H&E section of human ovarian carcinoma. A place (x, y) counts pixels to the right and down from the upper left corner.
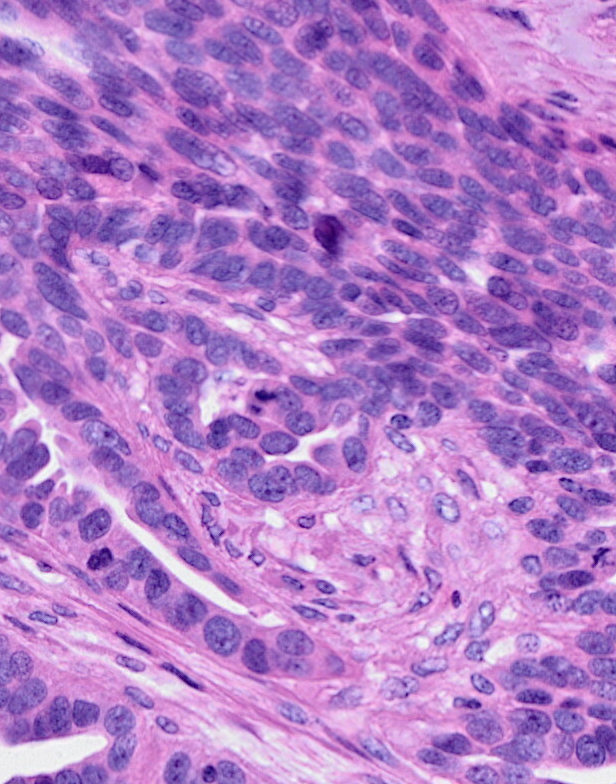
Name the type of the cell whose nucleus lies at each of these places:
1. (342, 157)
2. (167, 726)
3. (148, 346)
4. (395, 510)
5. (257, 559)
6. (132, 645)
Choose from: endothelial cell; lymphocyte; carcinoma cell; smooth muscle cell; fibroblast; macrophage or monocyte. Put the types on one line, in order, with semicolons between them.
carcinoma cell; fibroblast; carcinoma cell; fibroblast; fibroblast; fibroblast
